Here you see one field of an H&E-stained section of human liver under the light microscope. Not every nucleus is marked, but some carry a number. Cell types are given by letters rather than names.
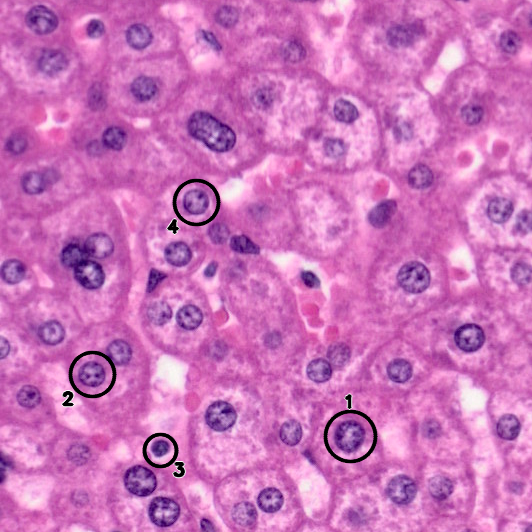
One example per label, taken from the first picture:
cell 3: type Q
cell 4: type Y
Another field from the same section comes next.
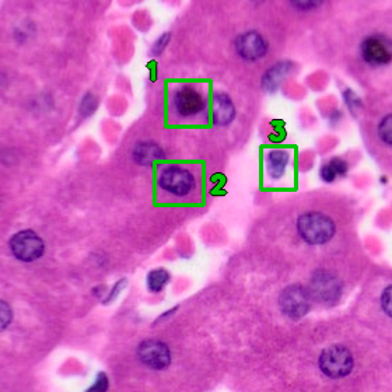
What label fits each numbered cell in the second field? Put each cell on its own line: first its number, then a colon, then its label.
1: type Y
2: type Y
3: type Q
